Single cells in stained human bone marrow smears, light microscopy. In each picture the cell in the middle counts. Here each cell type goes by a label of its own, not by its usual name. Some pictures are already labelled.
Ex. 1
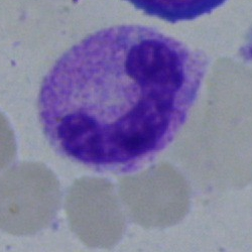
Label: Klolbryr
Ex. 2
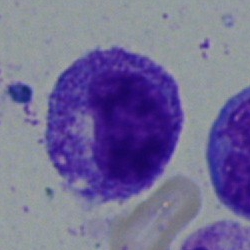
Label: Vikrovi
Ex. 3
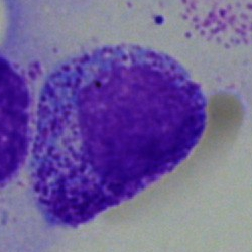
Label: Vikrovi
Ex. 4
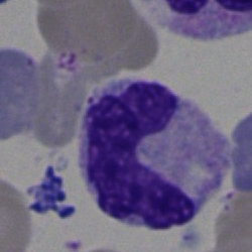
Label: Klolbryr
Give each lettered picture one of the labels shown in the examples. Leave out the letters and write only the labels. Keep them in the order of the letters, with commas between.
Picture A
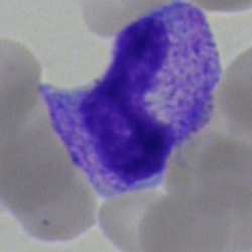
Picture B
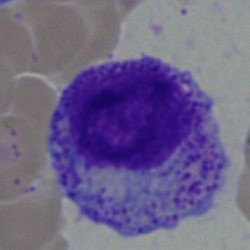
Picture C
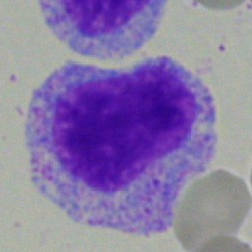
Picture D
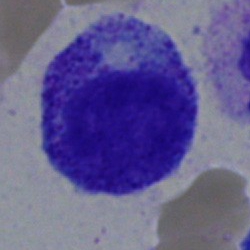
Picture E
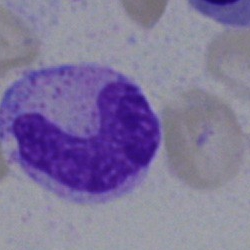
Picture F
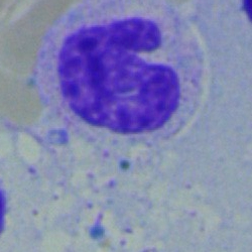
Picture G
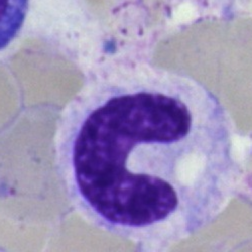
Klolbryr, Vikrovi, Vikrovi, Vikrovi, Klolbryr, Klolbryr, Klolbryr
